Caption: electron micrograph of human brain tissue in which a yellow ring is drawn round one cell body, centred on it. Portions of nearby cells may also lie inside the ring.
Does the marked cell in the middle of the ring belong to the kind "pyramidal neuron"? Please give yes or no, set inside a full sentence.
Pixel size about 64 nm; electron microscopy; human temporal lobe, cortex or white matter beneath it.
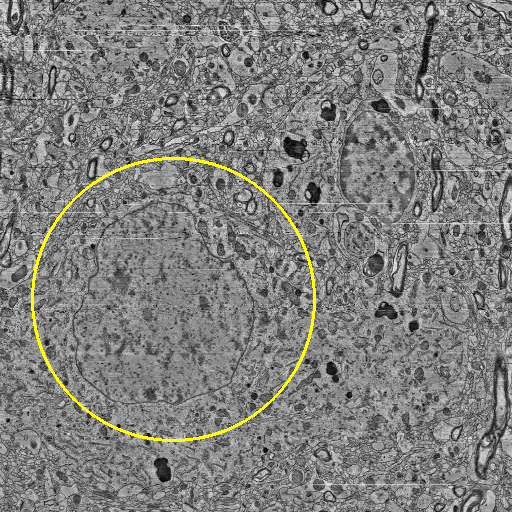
Yes, the marked cell that the ring is centred on in the picture is of that kind.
